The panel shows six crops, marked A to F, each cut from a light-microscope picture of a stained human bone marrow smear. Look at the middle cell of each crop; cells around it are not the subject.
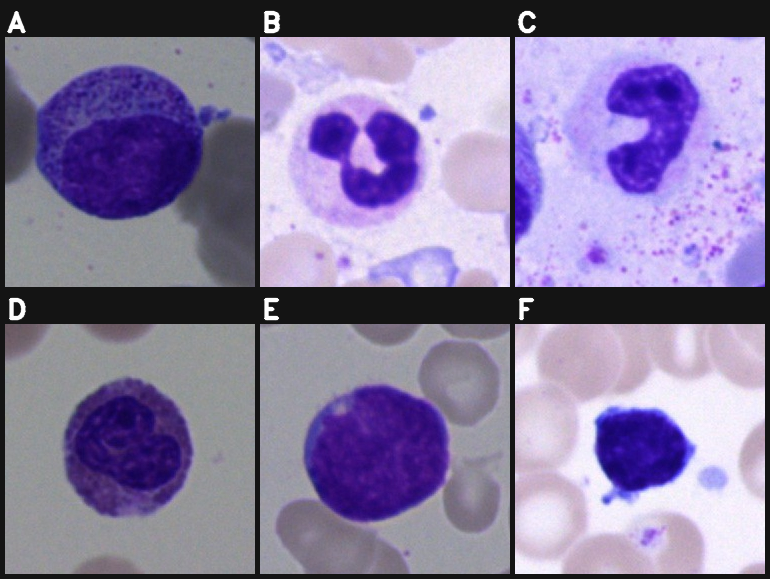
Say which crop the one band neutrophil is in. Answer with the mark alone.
C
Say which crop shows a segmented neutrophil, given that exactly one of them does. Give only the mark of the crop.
B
